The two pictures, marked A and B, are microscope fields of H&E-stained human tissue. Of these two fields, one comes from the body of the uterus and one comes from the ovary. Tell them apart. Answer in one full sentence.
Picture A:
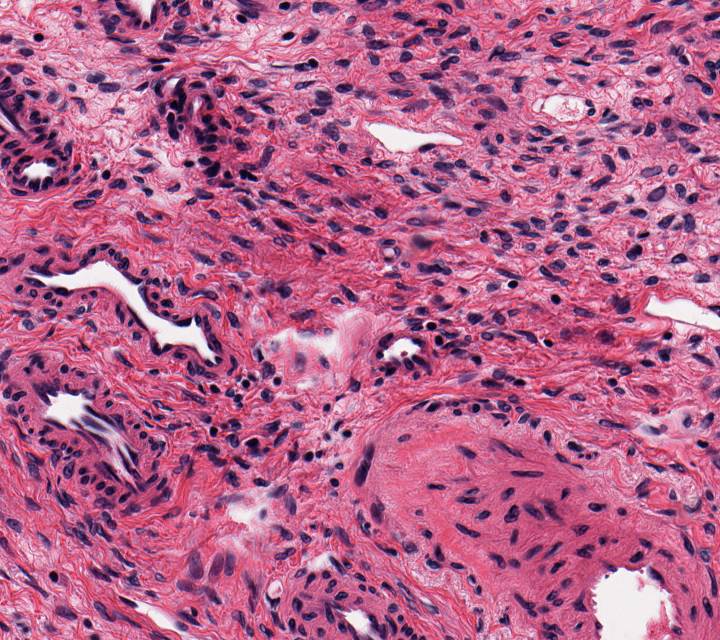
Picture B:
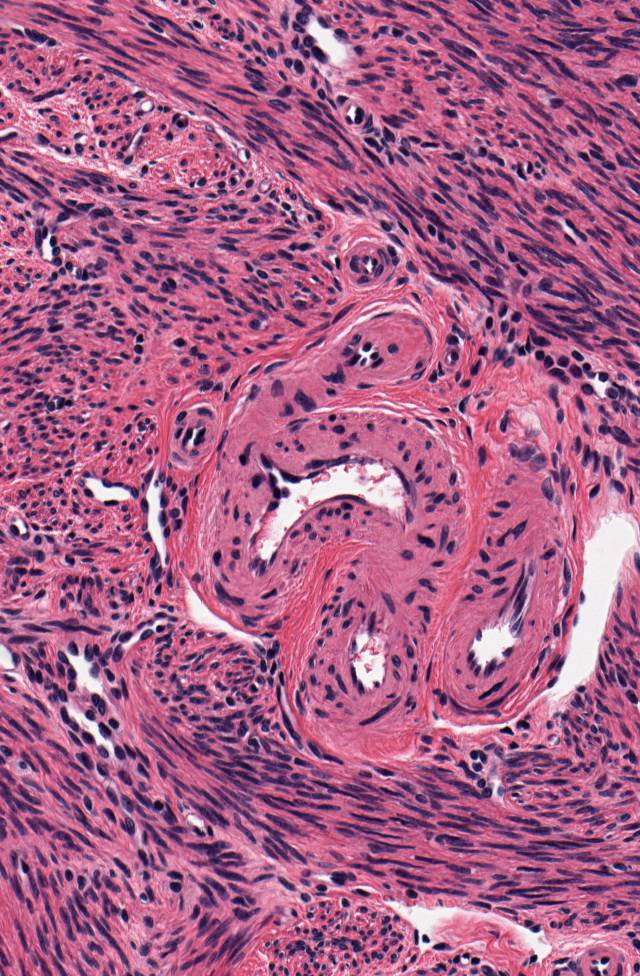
Picture A comes from the ovary and picture B comes from the body of the uterus.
